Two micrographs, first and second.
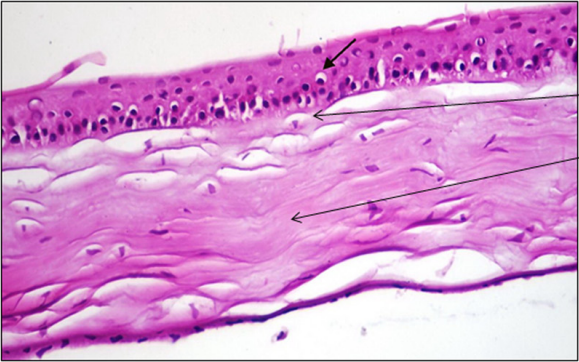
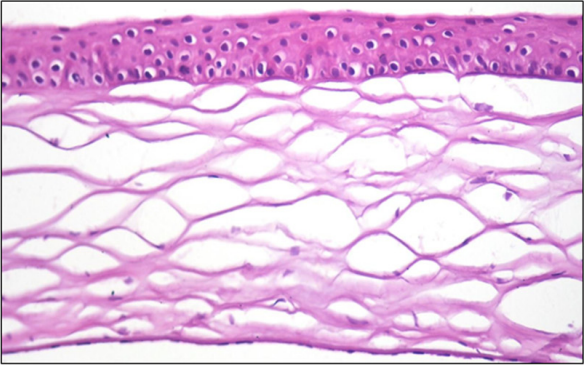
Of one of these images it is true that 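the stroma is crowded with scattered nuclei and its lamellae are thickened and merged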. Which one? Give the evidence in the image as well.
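The first image. Second image: the stroma shows thin, separated lamellae with open clear spaces and only few flat nuclei.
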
